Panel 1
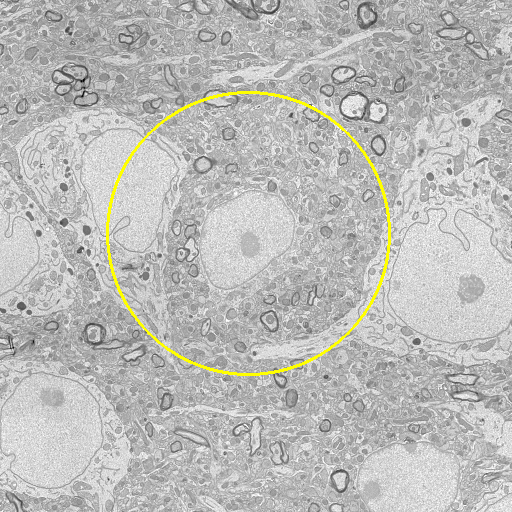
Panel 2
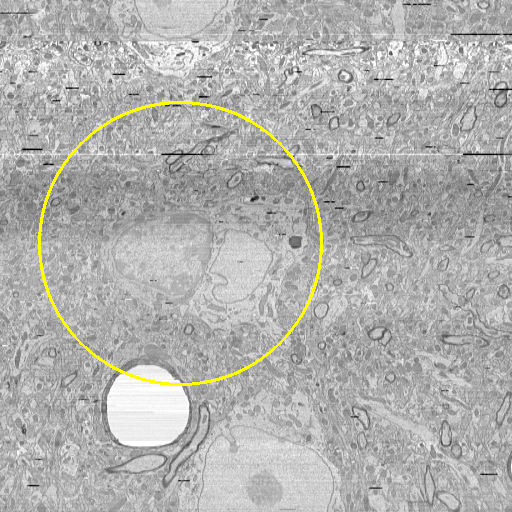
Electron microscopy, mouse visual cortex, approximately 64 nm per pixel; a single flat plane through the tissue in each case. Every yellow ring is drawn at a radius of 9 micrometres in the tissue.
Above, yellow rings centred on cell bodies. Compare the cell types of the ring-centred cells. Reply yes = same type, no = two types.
no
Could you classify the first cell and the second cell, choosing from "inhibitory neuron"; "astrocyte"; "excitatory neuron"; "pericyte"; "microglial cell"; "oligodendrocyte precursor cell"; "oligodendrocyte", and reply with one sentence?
The second cell is an oligodendrocyte, while the first is an astrocyte.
